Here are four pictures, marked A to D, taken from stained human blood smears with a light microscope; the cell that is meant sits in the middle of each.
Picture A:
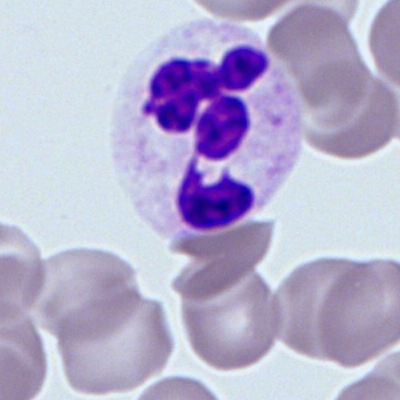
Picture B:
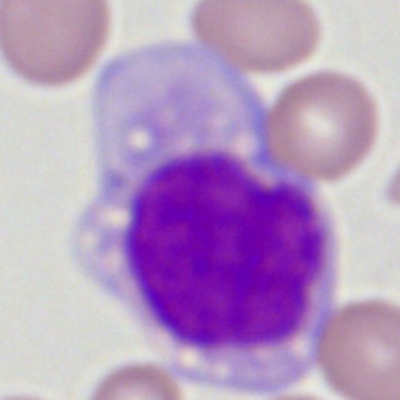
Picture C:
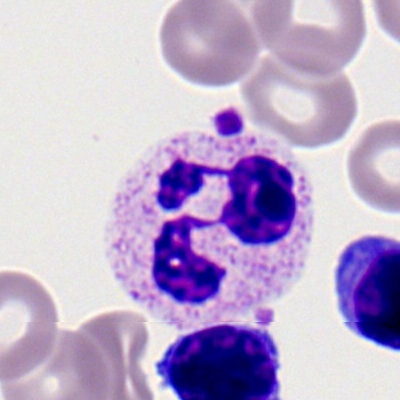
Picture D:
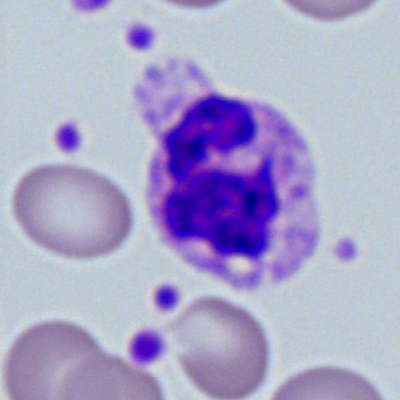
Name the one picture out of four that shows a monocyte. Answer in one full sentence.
The monocyte is the one in picture B.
